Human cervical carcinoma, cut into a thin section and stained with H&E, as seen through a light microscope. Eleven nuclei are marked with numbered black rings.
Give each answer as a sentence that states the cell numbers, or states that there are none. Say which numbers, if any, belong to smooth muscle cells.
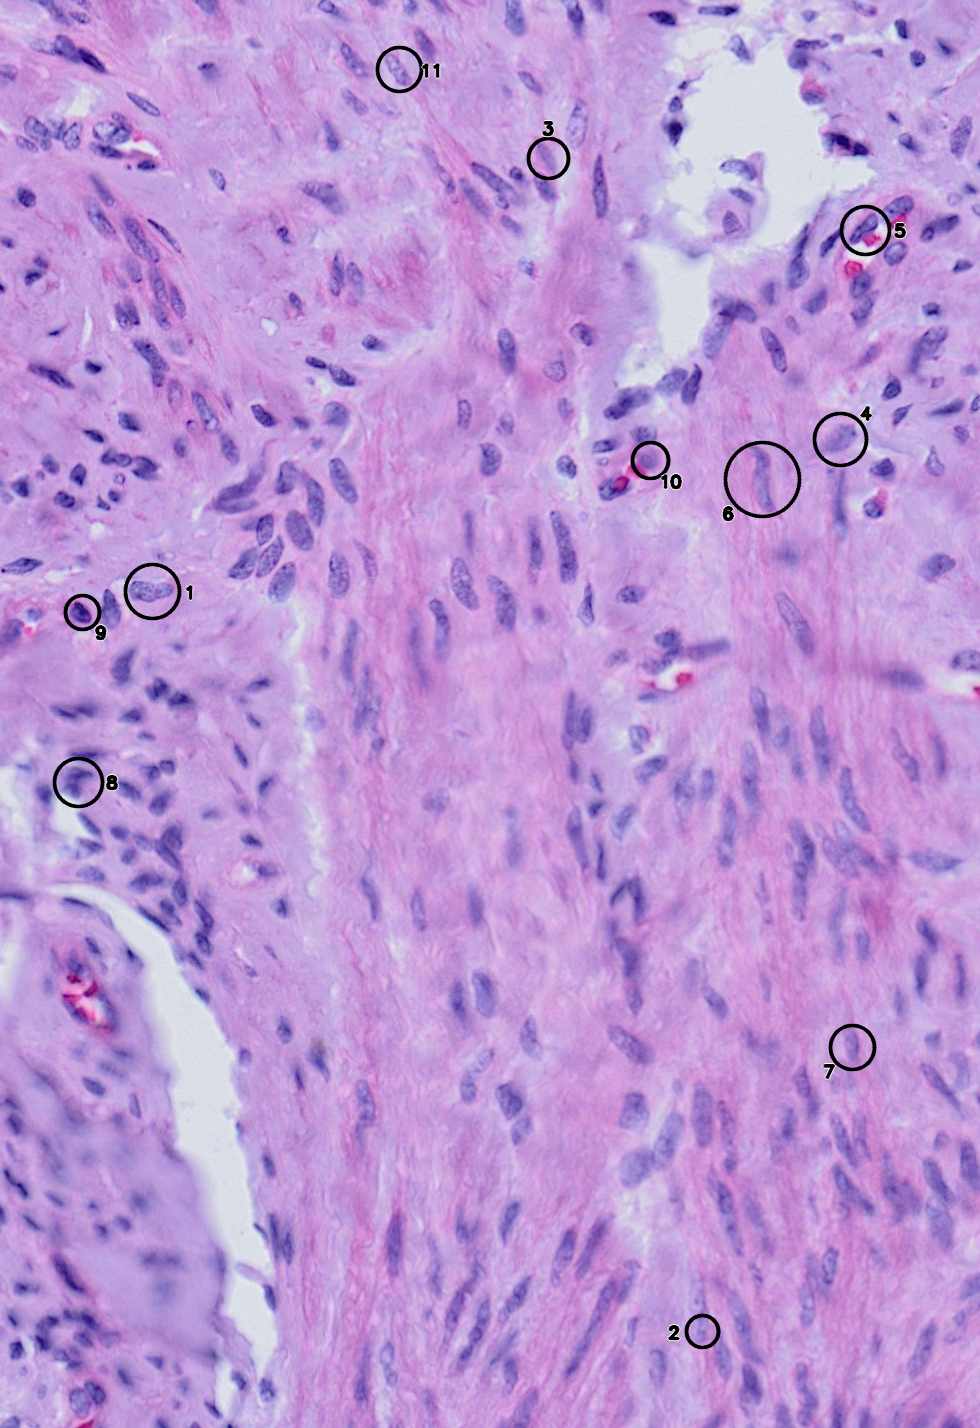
The cells that have numbers 2, 3, 6, 7 and 11 are smooth muscle cells.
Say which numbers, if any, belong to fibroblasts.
By cell type, the cells numbered 1, 4 and 8 are fibroblasts.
